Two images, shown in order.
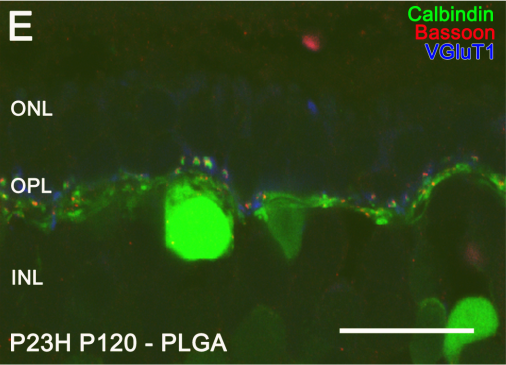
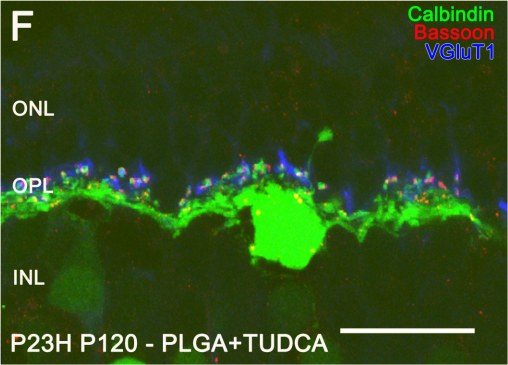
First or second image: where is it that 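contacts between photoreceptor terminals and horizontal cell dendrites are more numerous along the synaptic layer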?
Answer: The second image.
